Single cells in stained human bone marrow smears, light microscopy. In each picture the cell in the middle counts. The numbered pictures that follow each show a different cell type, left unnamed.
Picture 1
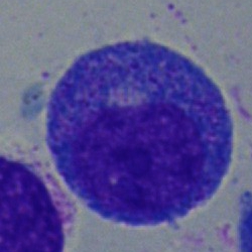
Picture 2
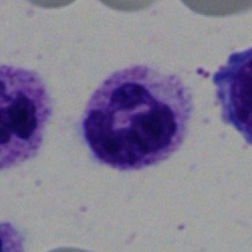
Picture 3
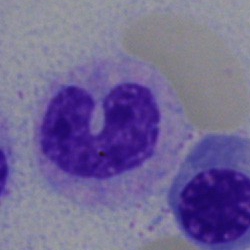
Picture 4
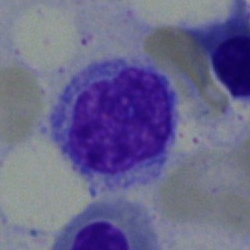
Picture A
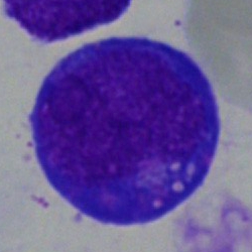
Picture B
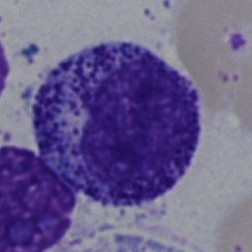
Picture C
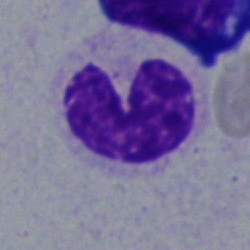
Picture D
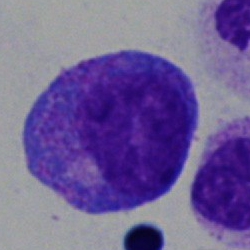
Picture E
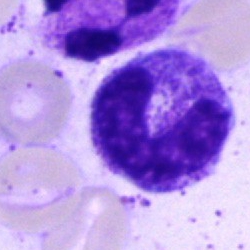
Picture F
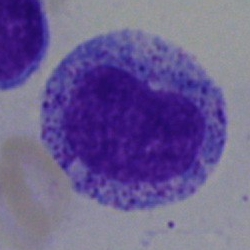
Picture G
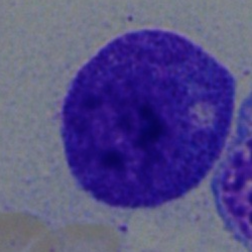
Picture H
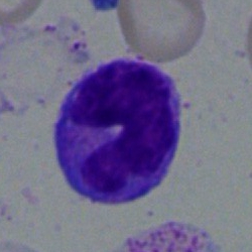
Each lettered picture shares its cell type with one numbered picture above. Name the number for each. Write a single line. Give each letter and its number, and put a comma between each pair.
A 1, B 1, C 3, D 1, E 3, F 1, G 1, H 4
